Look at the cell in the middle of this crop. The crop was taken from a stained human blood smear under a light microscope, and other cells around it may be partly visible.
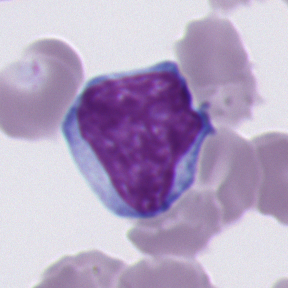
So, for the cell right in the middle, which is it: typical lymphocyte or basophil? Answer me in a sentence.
The cell at the centre of the field is a typical lymphocyte.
